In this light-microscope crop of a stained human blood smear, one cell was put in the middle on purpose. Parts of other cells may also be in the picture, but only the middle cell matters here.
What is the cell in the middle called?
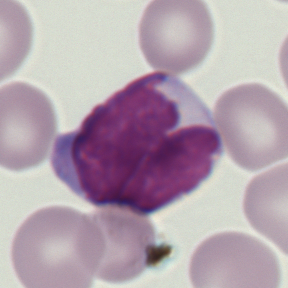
large granular lymphocyte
